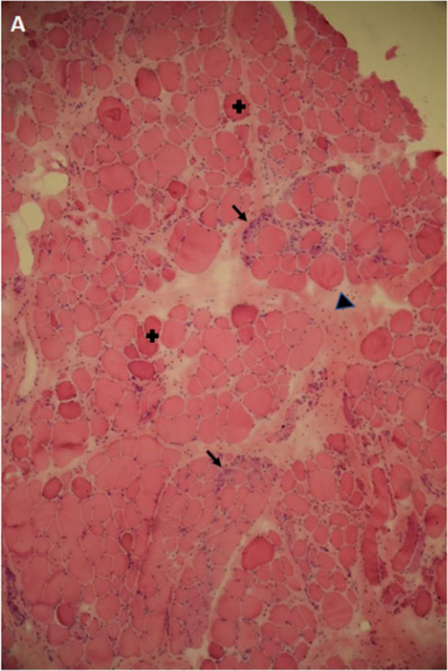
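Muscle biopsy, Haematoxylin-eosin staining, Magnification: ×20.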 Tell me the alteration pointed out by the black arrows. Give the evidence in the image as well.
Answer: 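Inflammatory infiltrate. The arrows point to clusters of small, dark purple nuclei lying between the fibres. These clusters are denser than the scattered nuclei elsewhere.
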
